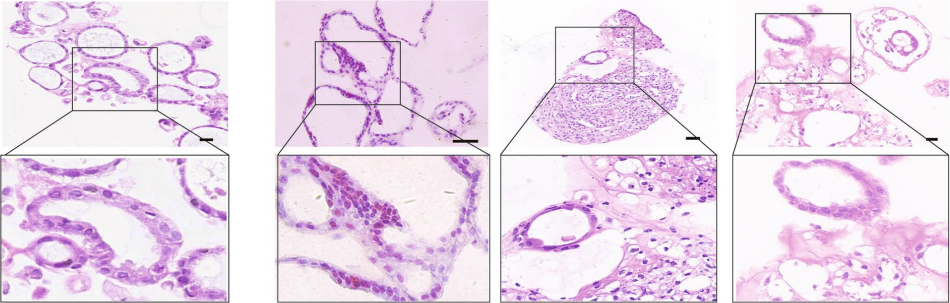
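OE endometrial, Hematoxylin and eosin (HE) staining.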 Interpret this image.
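These are epithelial organoids, seen as hollow cyst-like rings in section, each lined by a single layer of cuboidal to low columnar cells. The lumens are mostly empty or hold faint material, and the rings lie in a pale, almost colourless matrix. In one set the walls are thin and flattened, with a fold holding a cluster of cells that stain reddish. In another, a small epithelial ring lies beside a denser, more cellular area of pale, vacuolated cells. The enlarged views show the single-layered lining of the rings.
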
